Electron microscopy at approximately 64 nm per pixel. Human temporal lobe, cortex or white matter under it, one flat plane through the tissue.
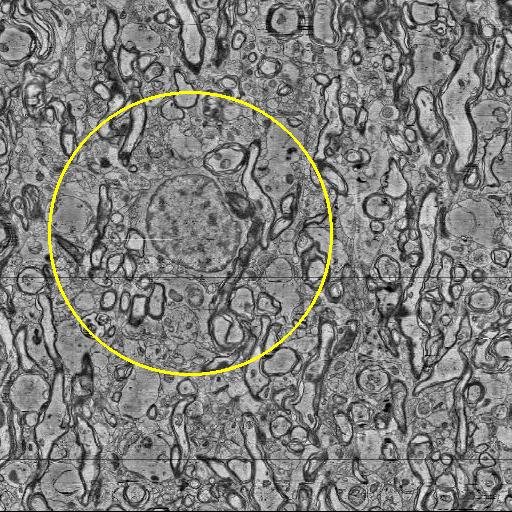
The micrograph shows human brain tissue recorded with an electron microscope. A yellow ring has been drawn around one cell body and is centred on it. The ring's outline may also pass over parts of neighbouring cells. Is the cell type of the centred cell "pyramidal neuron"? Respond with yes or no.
no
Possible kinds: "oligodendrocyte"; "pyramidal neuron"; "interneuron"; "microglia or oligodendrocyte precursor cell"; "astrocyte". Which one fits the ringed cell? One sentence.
That cell in the ring is an oligodendrocyte instead.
